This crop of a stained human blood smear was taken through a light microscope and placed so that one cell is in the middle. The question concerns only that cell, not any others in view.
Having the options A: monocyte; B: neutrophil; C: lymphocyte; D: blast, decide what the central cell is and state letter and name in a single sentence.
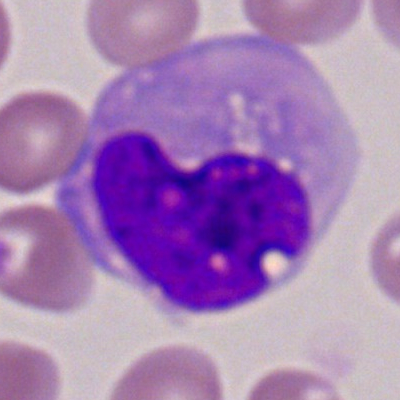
Identification: the cell in the middle is a monocyte, matching option A.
